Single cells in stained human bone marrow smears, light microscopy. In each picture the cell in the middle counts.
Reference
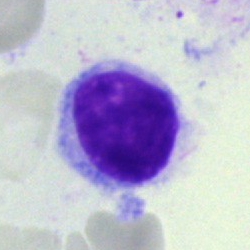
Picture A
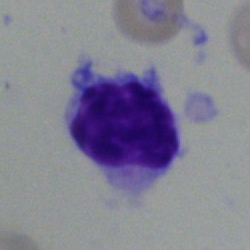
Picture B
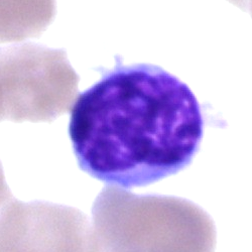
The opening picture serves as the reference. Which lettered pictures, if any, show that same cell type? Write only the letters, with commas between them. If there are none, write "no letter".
A, B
